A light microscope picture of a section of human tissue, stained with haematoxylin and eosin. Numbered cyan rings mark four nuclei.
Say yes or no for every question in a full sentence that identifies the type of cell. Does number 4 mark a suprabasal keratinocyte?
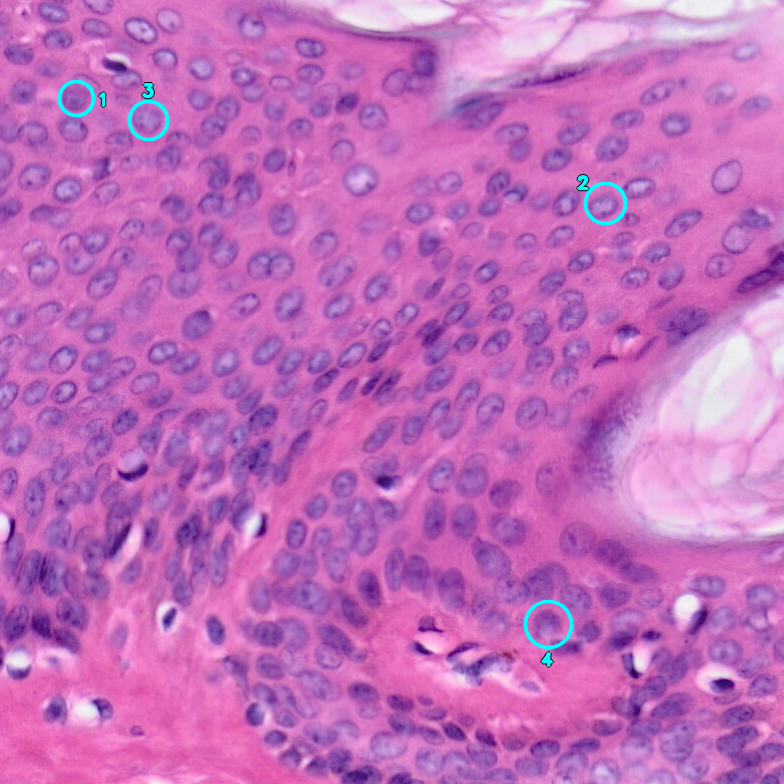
No, the cell carrying number 4 is a basal keratinocyte rather than a suprabasal keratinocyte.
